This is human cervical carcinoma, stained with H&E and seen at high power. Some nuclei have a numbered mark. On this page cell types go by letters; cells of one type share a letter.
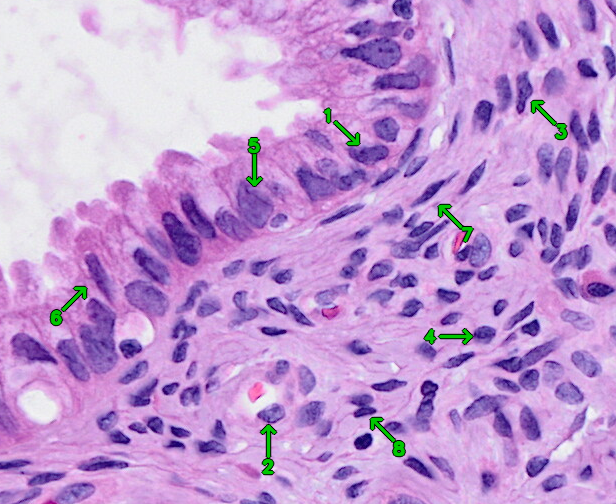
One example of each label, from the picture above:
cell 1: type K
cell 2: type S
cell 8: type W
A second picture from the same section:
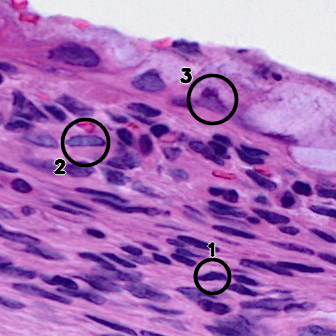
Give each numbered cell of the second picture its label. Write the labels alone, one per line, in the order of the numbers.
type W
type S
type K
